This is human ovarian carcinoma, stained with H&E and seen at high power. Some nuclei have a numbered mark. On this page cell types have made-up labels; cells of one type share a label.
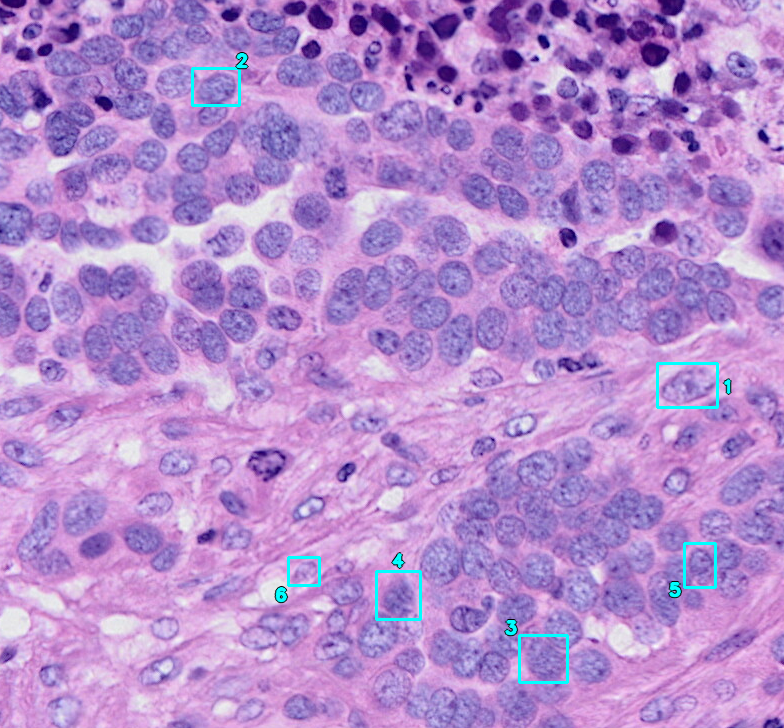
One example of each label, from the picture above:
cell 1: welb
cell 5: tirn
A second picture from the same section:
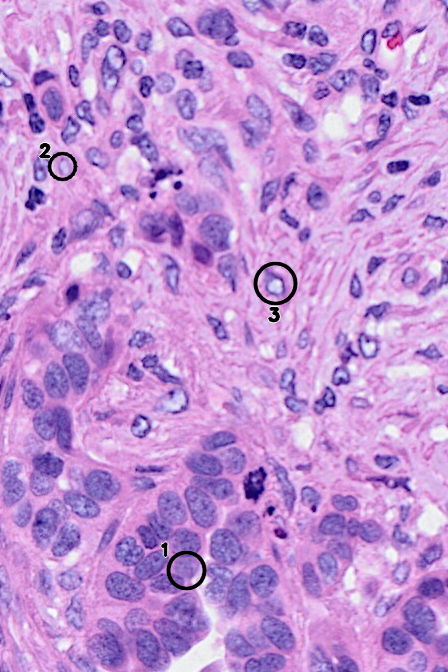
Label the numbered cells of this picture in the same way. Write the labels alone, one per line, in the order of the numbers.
tirn
welb
welb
